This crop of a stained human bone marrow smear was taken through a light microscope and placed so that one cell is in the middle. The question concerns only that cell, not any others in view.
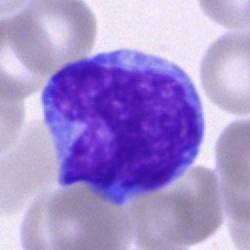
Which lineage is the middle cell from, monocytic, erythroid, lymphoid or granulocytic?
monocytic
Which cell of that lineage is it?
monocyte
